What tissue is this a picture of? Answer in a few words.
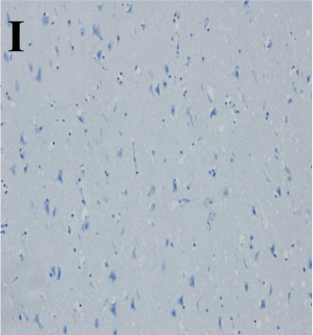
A: cerebrum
